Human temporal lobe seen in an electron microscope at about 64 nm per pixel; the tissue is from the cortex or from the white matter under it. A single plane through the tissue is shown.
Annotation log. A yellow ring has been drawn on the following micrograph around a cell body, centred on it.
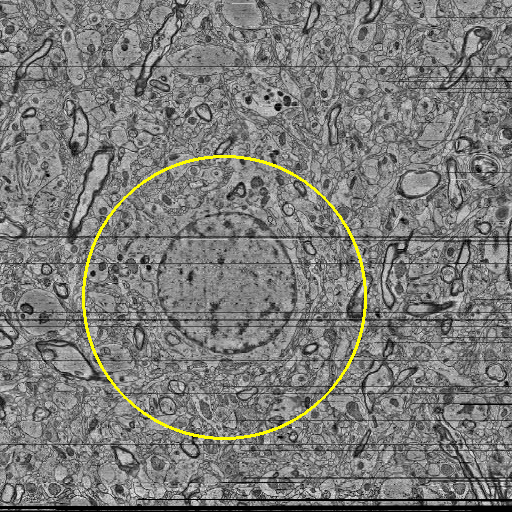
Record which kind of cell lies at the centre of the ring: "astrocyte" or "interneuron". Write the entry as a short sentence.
The cell the ring is centred on is an astrocyte.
